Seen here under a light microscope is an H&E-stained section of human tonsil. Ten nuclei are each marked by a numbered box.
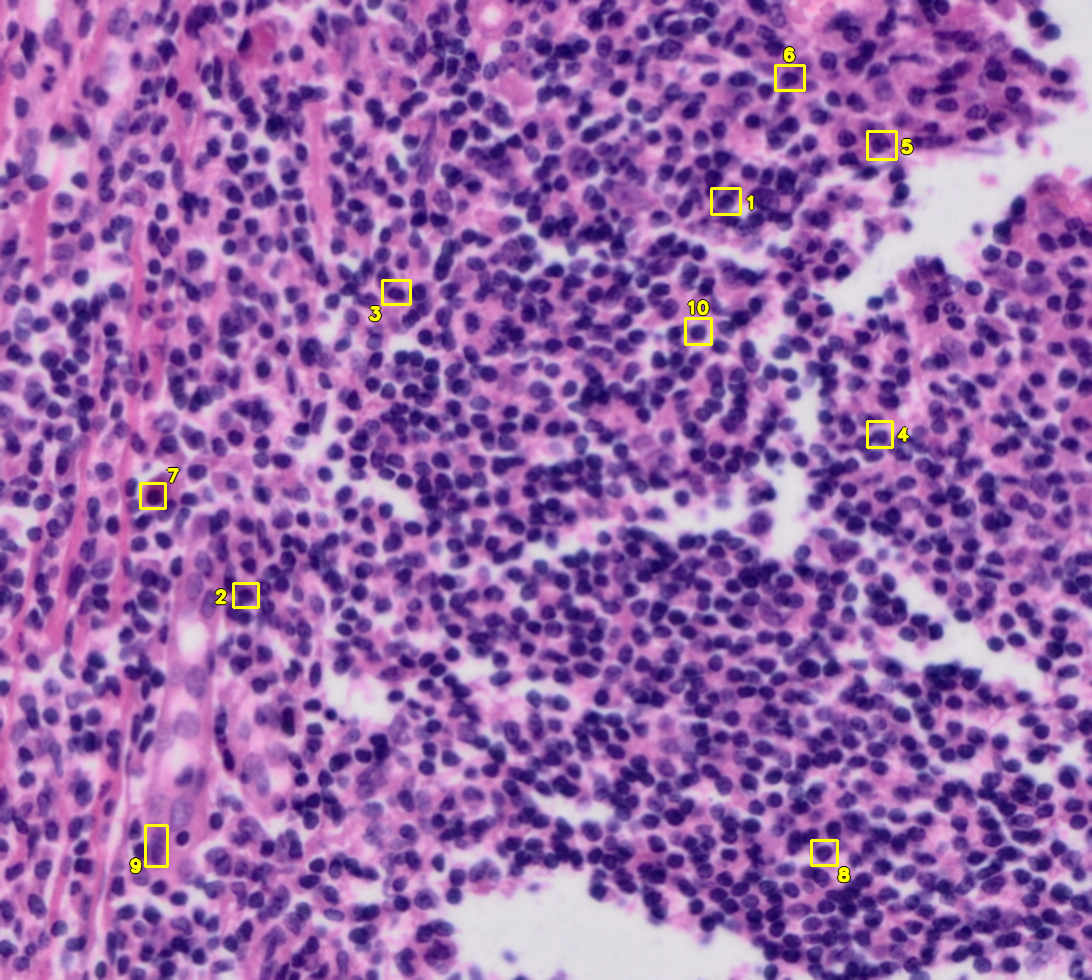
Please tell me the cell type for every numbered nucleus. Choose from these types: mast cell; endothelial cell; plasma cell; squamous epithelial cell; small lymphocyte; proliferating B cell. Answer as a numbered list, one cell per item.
1. small lymphocyte
2. small lymphocyte
3. small lymphocyte
4. small lymphocyte
5. plasma cell
6. plasma cell
7. plasma cell
8. small lymphocyte
9. endothelial cell
10. small lymphocyte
